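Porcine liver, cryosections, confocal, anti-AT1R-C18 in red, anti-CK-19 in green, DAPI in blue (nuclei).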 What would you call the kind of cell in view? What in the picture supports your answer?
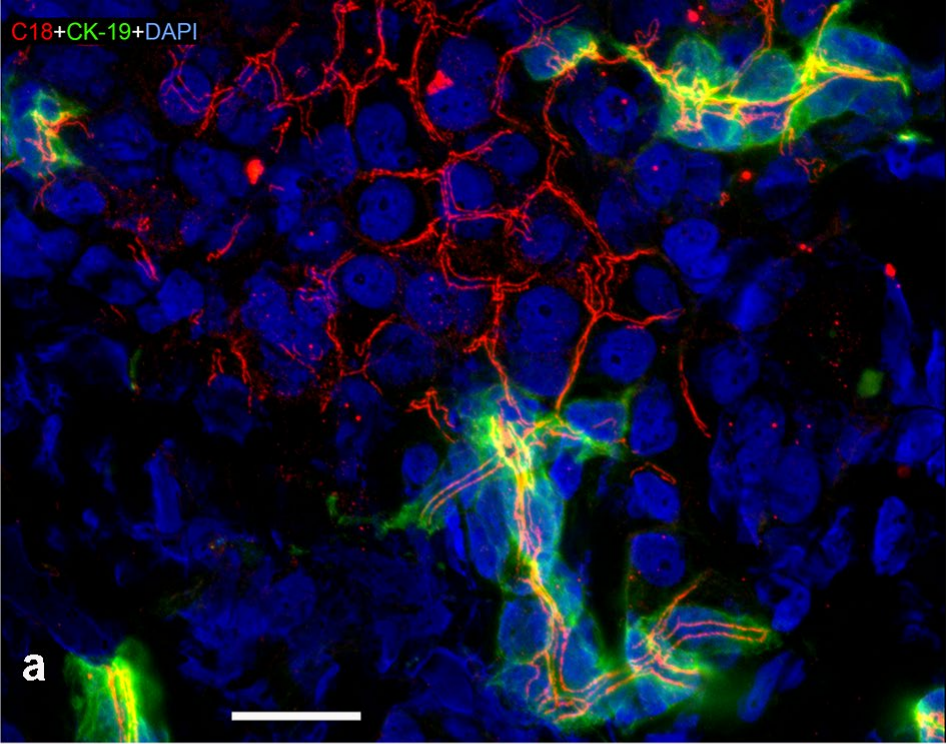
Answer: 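Large polygonal cells with round nuclei and prominent nucleoli. The cells are arranged in plates bordered by a red network of lines.
Answer: hepatocyte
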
